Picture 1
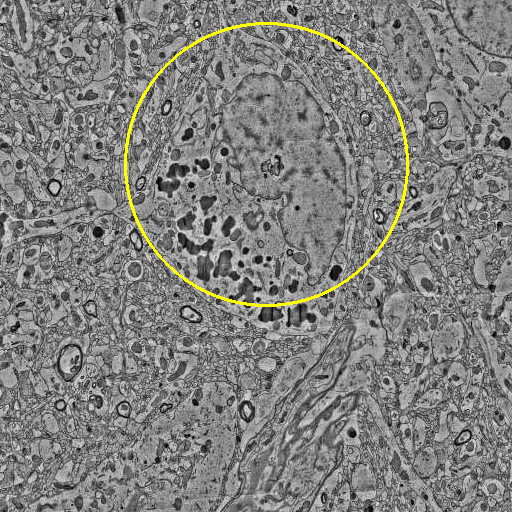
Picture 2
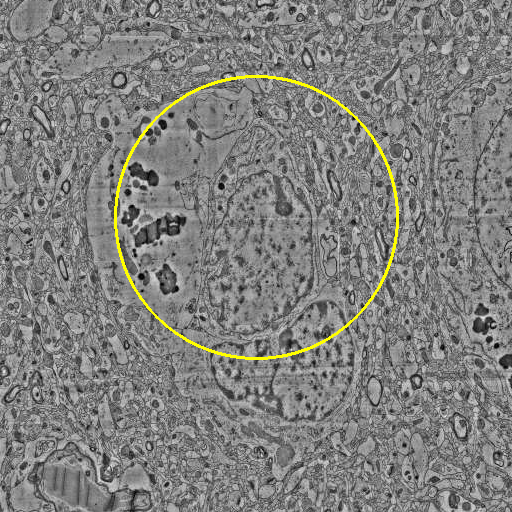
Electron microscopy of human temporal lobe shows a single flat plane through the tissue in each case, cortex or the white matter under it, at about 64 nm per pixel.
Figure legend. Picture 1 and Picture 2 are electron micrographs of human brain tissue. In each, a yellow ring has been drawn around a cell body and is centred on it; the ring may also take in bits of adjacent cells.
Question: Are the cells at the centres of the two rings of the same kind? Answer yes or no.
yes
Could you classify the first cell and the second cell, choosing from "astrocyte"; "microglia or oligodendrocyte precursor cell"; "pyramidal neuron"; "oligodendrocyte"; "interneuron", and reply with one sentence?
Each of the two pictures has an interneuron at the ring centre.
